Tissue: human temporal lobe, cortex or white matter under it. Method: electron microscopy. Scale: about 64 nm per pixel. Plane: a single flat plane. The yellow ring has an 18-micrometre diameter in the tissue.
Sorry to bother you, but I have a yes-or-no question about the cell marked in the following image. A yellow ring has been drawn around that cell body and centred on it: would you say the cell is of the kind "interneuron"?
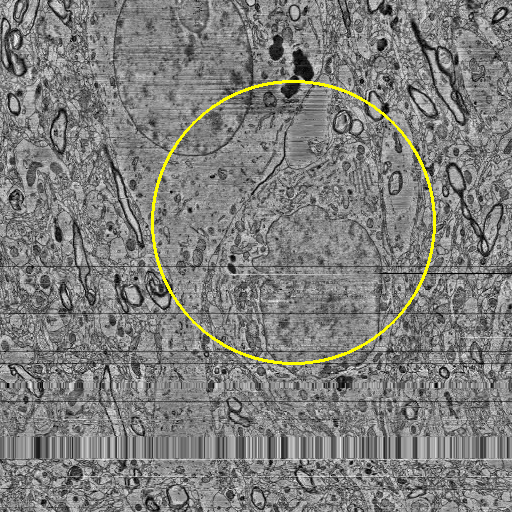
yes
